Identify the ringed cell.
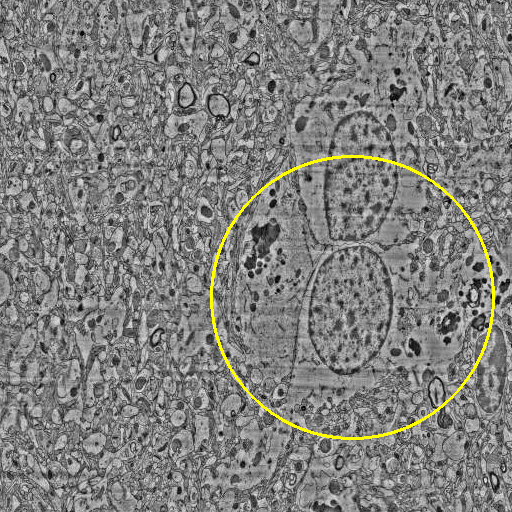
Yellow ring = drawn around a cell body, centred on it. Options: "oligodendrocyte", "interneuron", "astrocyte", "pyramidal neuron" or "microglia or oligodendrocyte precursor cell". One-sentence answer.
What the ring is centred on is an astrocyte.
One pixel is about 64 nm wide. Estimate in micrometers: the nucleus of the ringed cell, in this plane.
In this plane, approximately 8 by 5 micrometers, and clearly longer than it is wide.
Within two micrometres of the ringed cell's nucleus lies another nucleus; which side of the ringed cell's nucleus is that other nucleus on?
The second nucleus is above it.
